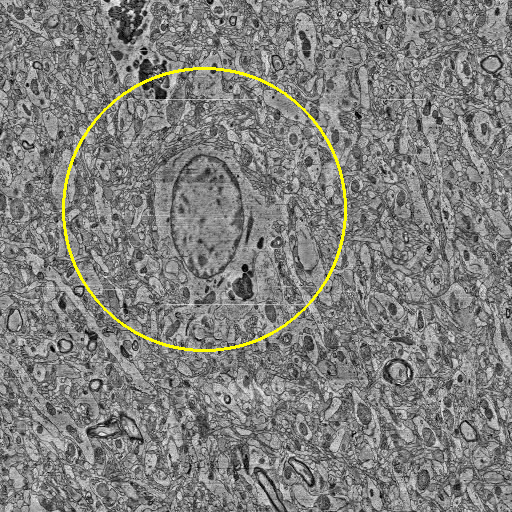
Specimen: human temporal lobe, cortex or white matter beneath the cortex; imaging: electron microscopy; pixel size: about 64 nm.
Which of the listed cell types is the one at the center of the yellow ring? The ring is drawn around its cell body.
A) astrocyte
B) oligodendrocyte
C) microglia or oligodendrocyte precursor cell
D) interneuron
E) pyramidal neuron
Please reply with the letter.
A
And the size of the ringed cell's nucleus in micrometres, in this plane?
In this plane, approximately 8 by 5 micrometers.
